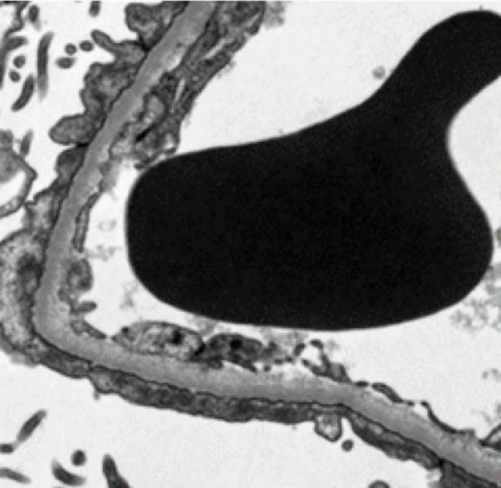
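This electron micrograph shows part of a glomerular capillary wall, with a red blood cell filling much of the lumen as a large, uniformly black shape. On the outer side of the band the podocyte cytoplasm is spread out as a continuous flat layer instead of forming separate, regularly spaced foot processes. No dark, dense clumps are seen within or beside the membrane.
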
